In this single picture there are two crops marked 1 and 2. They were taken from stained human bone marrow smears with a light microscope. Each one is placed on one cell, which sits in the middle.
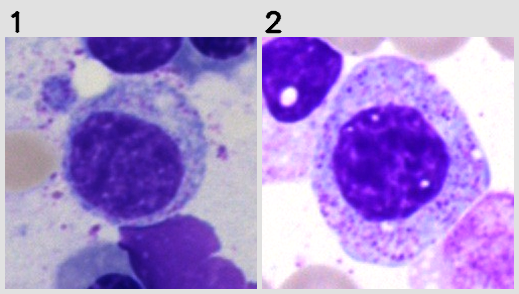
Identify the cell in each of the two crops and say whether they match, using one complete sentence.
Yes, both of the crops in this pair show myelocytes, one cell in each crop.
